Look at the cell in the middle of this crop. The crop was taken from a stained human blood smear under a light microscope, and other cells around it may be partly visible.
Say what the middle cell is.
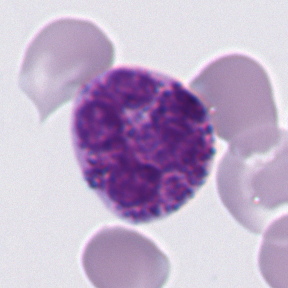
basophil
